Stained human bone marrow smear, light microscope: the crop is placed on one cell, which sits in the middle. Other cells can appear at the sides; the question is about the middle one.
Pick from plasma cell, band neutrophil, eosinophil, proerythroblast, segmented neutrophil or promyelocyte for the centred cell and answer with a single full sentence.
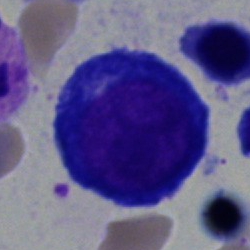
Positioned in the middle of the crop is a proerythroblast.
